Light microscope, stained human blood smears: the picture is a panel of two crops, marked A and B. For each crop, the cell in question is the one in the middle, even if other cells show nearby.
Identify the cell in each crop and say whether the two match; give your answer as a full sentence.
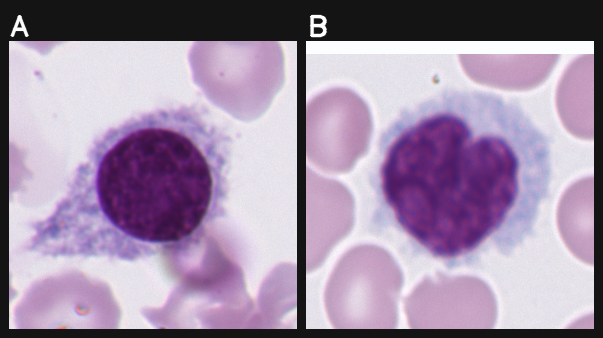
Yes, hairy cells are the central cells in the two crops.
